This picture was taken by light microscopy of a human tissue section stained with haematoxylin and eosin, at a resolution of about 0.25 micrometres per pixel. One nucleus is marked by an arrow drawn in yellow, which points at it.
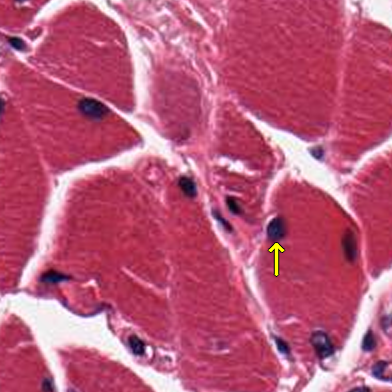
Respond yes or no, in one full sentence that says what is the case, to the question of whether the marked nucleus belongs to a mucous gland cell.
No, the marked nucleus is seen in a skeletal muscle fibre, not in a mucous gland cell.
